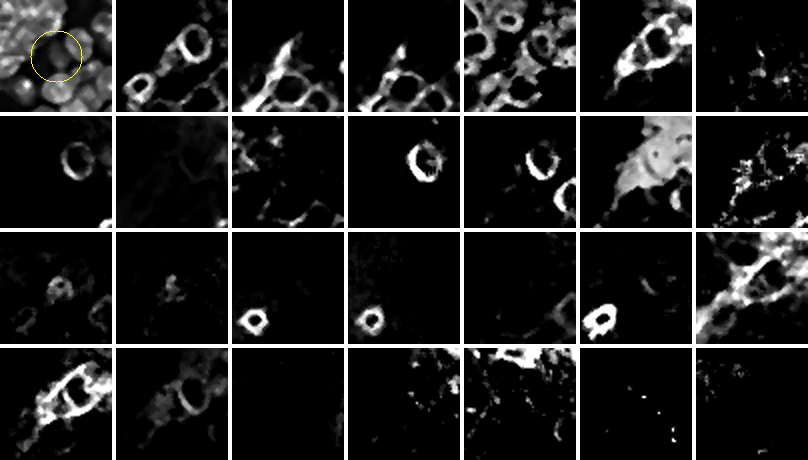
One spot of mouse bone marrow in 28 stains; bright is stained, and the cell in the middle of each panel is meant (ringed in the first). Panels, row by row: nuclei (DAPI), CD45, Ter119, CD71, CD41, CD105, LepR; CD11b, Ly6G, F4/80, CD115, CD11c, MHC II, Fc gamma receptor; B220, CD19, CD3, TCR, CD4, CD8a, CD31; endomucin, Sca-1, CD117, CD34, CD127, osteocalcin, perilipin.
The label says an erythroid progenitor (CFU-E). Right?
Wrong: this is a capillary endothelial cell.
